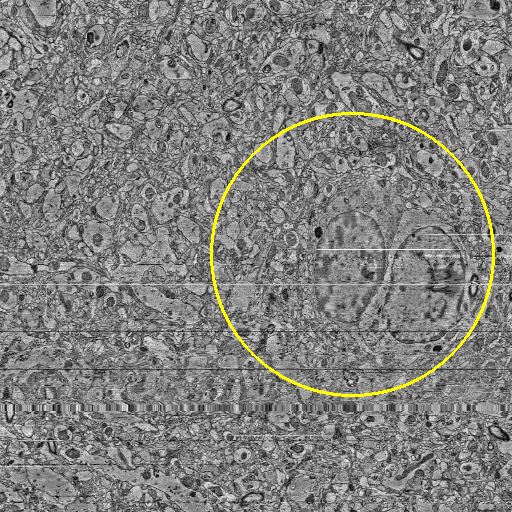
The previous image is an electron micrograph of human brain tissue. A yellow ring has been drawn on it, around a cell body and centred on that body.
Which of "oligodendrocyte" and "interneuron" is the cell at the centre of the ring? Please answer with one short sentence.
The cell body at the centre of the ring belongs to an oligodendrocyte.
